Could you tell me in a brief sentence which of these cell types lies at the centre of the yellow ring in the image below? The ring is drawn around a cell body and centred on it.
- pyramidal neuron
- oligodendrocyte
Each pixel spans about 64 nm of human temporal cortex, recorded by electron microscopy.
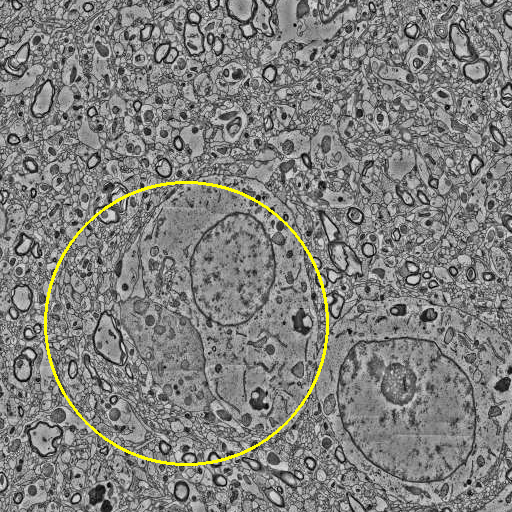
The cell centred in the ring is an oligodendrocyte.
